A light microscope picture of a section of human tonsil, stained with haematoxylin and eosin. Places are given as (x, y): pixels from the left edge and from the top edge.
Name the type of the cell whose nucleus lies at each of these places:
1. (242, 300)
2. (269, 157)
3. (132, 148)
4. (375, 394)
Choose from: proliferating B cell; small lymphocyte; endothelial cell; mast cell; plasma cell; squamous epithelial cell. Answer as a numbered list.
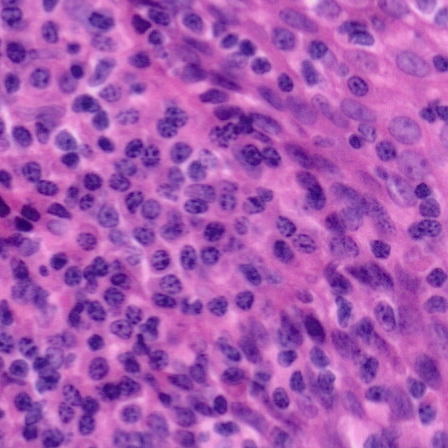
1. plasma cell
2. plasma cell
3. plasma cell
4. squamous epithelial cell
